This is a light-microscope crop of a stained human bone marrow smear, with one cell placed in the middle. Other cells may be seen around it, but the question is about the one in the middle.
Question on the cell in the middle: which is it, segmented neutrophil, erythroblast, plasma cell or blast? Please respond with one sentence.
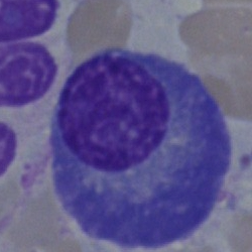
Centred in the crop is a plasma cell.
